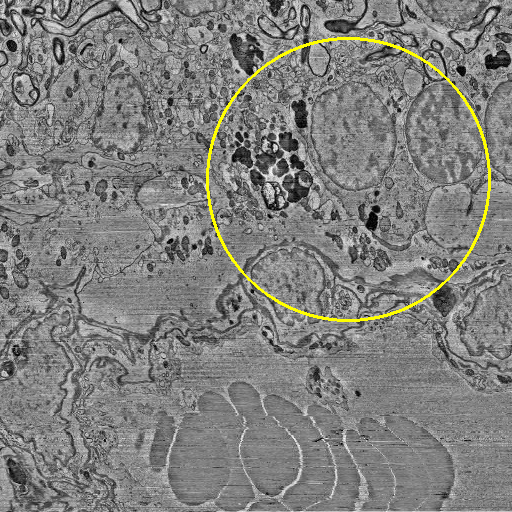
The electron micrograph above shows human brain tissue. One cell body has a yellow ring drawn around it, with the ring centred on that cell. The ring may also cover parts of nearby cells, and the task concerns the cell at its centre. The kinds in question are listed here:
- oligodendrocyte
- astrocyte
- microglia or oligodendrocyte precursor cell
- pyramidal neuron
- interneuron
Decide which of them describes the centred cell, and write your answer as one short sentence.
The centred cell is an oligodendrocyte.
